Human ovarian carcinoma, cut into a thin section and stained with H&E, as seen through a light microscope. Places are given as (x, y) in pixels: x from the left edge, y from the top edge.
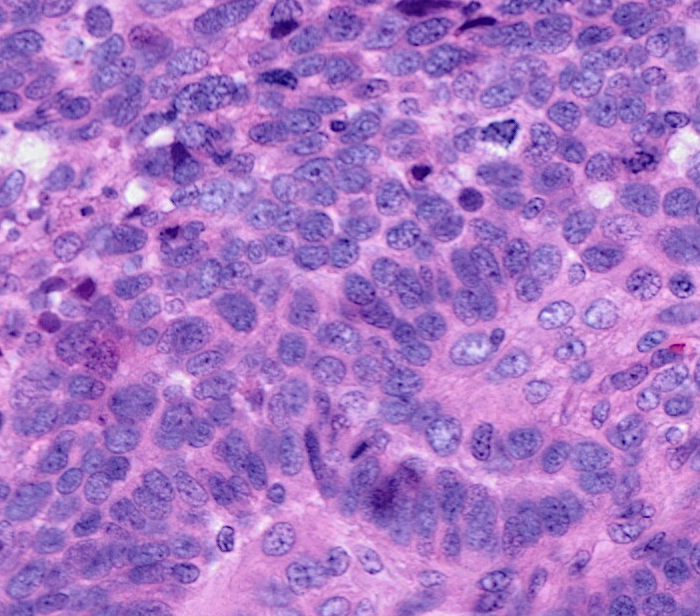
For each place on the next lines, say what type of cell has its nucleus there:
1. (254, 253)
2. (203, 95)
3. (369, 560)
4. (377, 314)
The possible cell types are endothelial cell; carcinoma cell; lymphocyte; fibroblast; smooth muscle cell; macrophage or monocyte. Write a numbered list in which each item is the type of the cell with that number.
1. carcinoma cell
2. carcinoma cell
3. fibroblast
4. carcinoma cell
